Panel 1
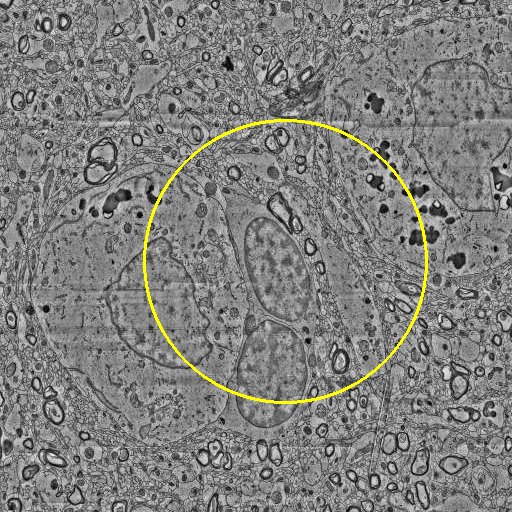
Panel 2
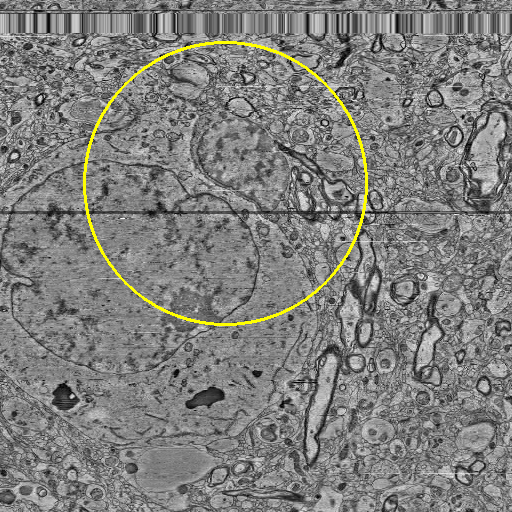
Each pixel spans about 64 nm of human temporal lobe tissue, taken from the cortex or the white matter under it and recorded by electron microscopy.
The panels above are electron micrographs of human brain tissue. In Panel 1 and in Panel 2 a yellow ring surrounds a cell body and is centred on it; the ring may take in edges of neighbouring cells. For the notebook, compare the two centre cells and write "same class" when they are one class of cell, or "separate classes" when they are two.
same class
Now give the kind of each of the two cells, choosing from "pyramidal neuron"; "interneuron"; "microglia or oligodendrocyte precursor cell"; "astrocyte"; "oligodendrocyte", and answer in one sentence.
In each of the two pictures, the ringed cell is an oligodendrocyte.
